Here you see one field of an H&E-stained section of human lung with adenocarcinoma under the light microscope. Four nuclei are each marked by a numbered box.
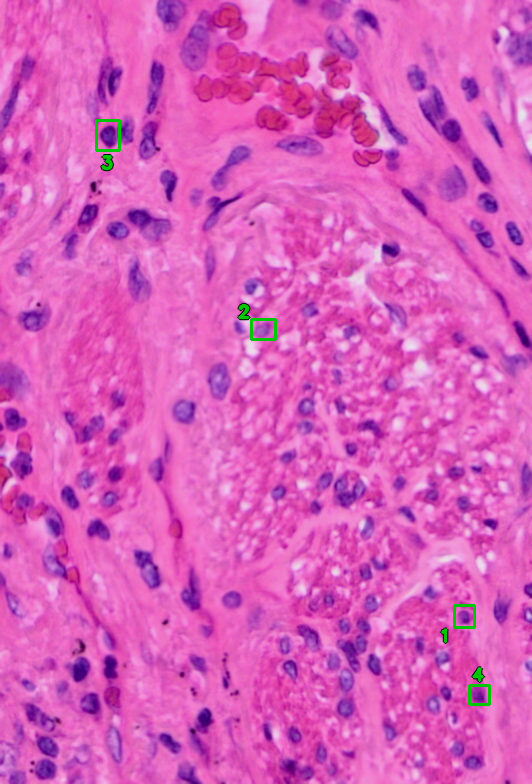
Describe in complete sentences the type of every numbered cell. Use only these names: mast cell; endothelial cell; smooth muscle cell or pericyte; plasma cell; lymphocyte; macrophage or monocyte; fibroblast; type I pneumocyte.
Cell 1 is a smooth muscle cell or pericyte, cell 2 is a smooth muscle cell or pericyte, cell 3 is a mast cell and cell 4 is a smooth muscle cell or pericyte.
